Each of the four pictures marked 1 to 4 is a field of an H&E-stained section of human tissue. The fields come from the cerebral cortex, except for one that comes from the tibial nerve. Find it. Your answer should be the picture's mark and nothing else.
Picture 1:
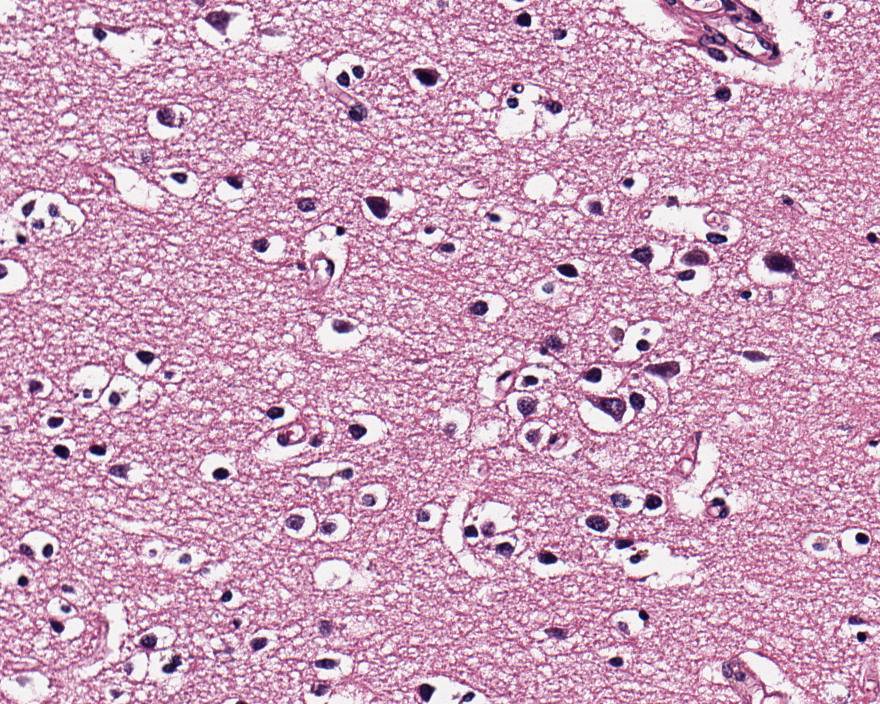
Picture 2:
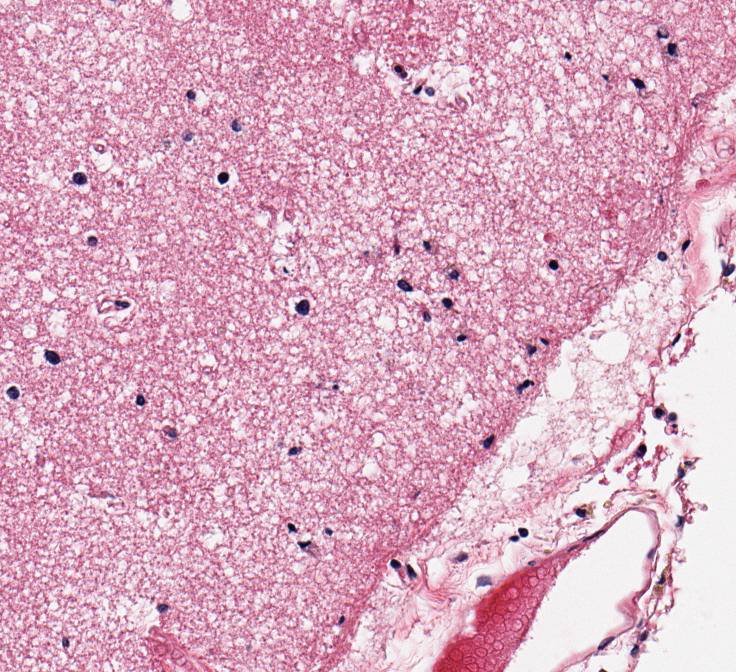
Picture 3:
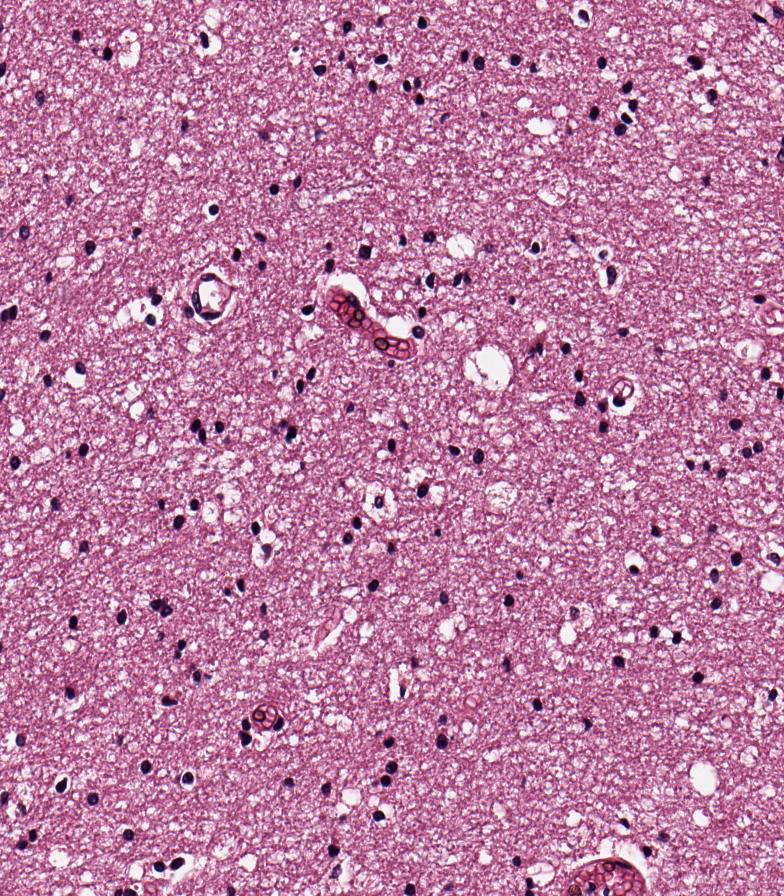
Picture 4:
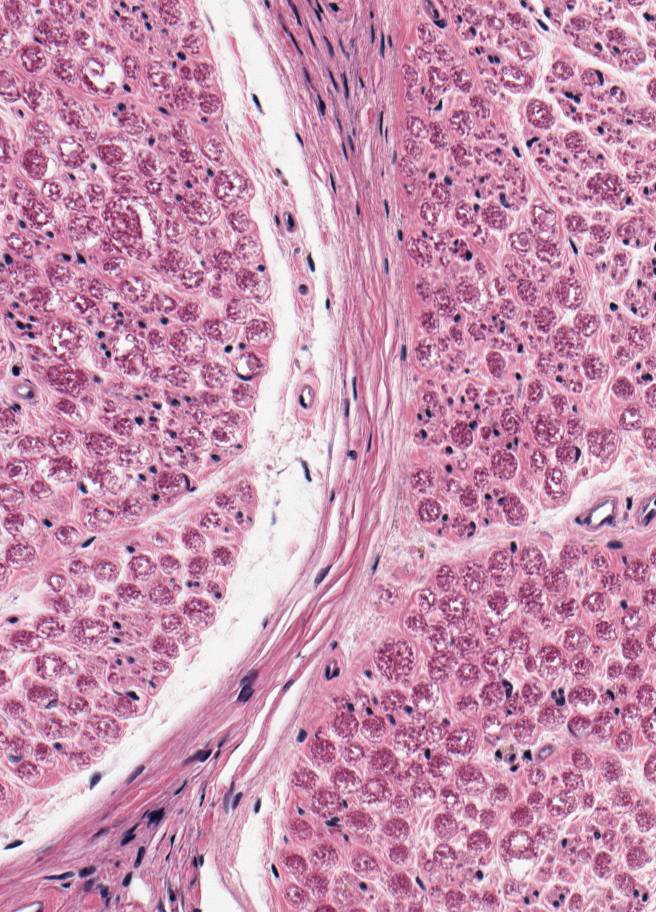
4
